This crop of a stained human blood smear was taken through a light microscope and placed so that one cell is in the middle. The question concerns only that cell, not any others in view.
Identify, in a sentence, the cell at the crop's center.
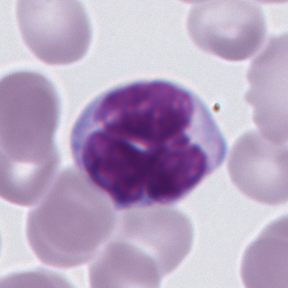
Occupying the centre of the crop is a large granular lymphocyte.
